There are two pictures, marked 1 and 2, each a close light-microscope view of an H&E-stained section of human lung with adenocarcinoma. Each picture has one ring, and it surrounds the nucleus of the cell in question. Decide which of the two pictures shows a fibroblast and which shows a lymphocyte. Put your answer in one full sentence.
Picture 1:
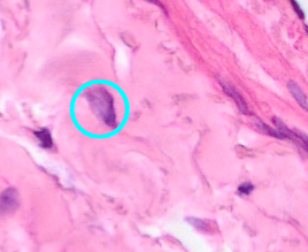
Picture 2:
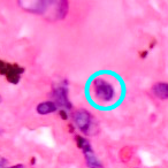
It is picture 1 that shows a fibroblast, and picture 2 that shows a lymphocyte.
